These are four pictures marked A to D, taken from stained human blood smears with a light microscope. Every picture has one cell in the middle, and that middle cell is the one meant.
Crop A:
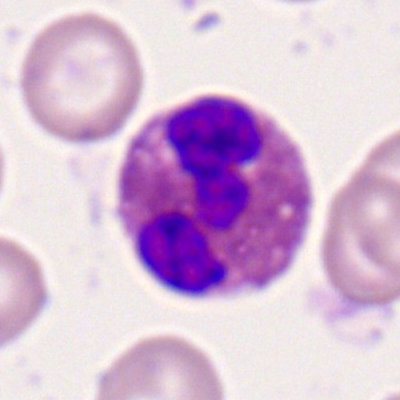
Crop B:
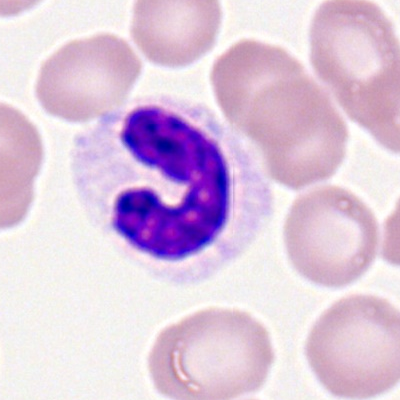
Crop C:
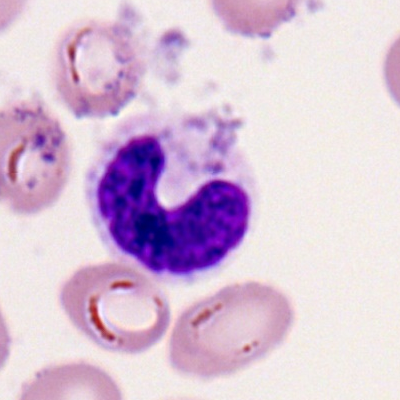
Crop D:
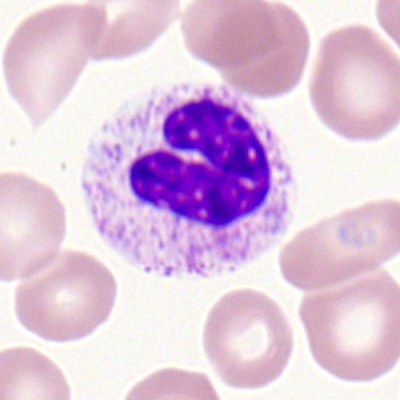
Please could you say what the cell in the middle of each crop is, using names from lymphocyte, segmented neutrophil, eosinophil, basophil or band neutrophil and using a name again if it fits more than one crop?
A: eosinophil
B: band neutrophil
C: band neutrophil
D: band neutrophil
